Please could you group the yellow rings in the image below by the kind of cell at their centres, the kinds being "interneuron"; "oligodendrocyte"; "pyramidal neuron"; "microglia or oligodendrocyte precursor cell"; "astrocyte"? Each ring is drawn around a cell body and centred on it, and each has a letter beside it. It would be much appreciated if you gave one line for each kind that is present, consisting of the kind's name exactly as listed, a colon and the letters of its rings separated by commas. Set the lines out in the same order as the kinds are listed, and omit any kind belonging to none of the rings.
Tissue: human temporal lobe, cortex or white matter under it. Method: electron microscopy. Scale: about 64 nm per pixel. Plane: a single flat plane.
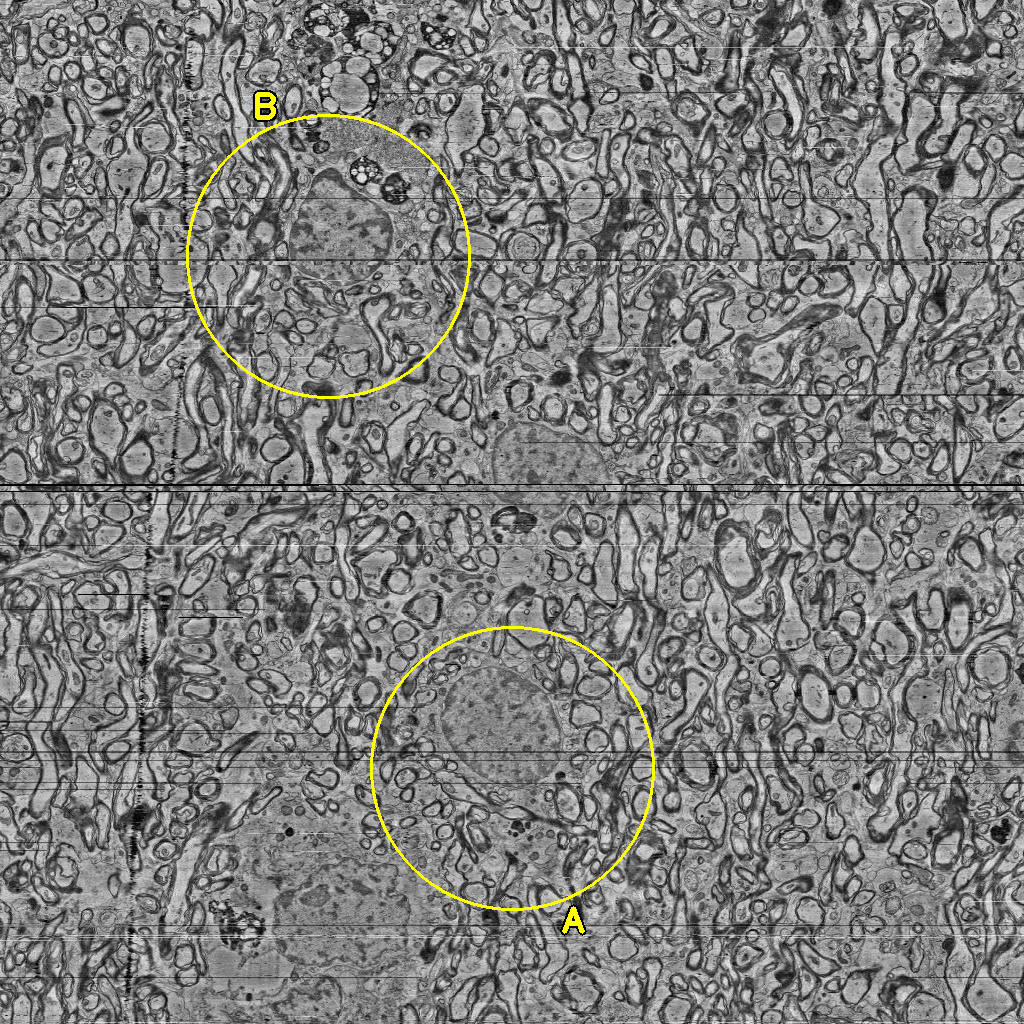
oligodendrocyte: A
microglia or oligodendrocyte precursor cell: B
